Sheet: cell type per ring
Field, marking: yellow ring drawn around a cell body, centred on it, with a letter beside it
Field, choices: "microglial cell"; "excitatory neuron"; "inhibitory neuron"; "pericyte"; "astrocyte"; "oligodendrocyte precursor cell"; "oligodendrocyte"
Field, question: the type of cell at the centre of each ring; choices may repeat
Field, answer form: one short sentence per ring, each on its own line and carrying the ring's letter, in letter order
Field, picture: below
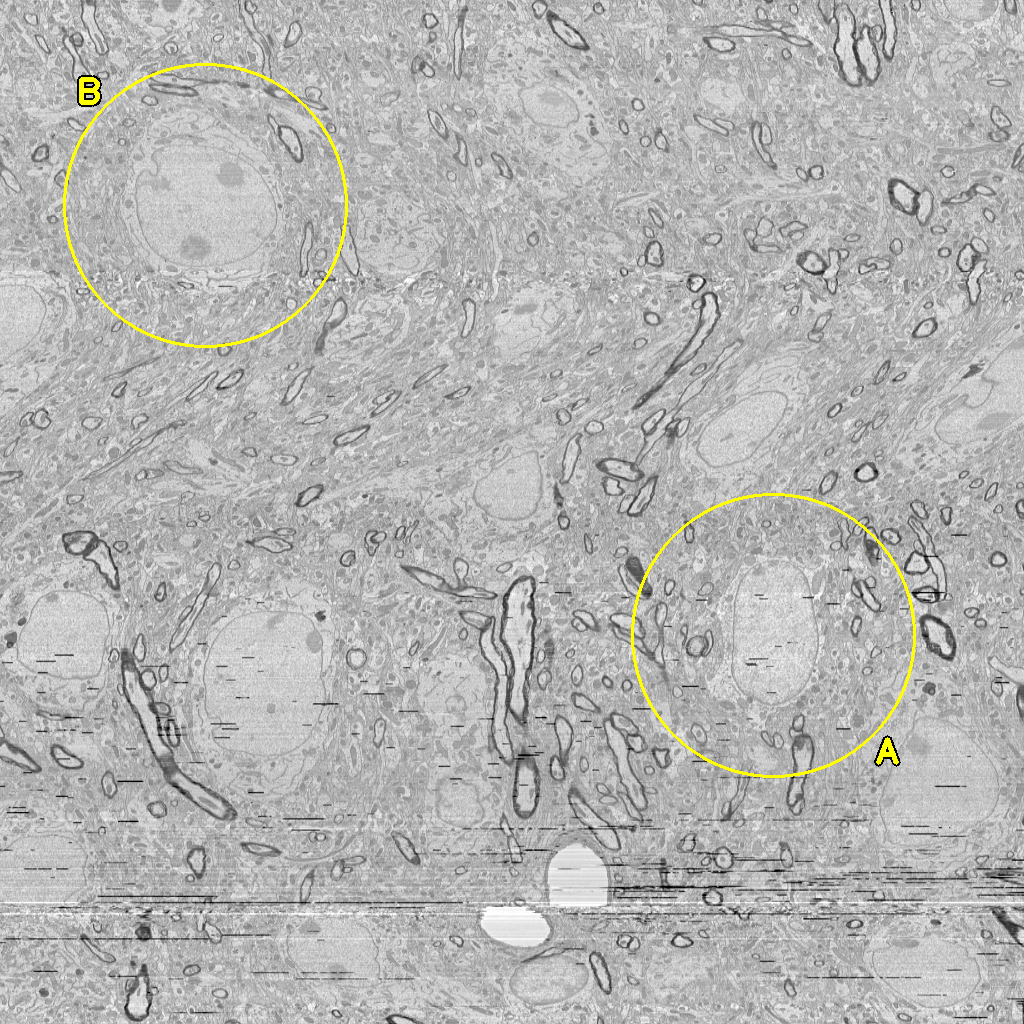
The cell body inside ring A, at its centre, is an astrocyte.
The cell body inside ring B, at its centre, is an excitatory neuron.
